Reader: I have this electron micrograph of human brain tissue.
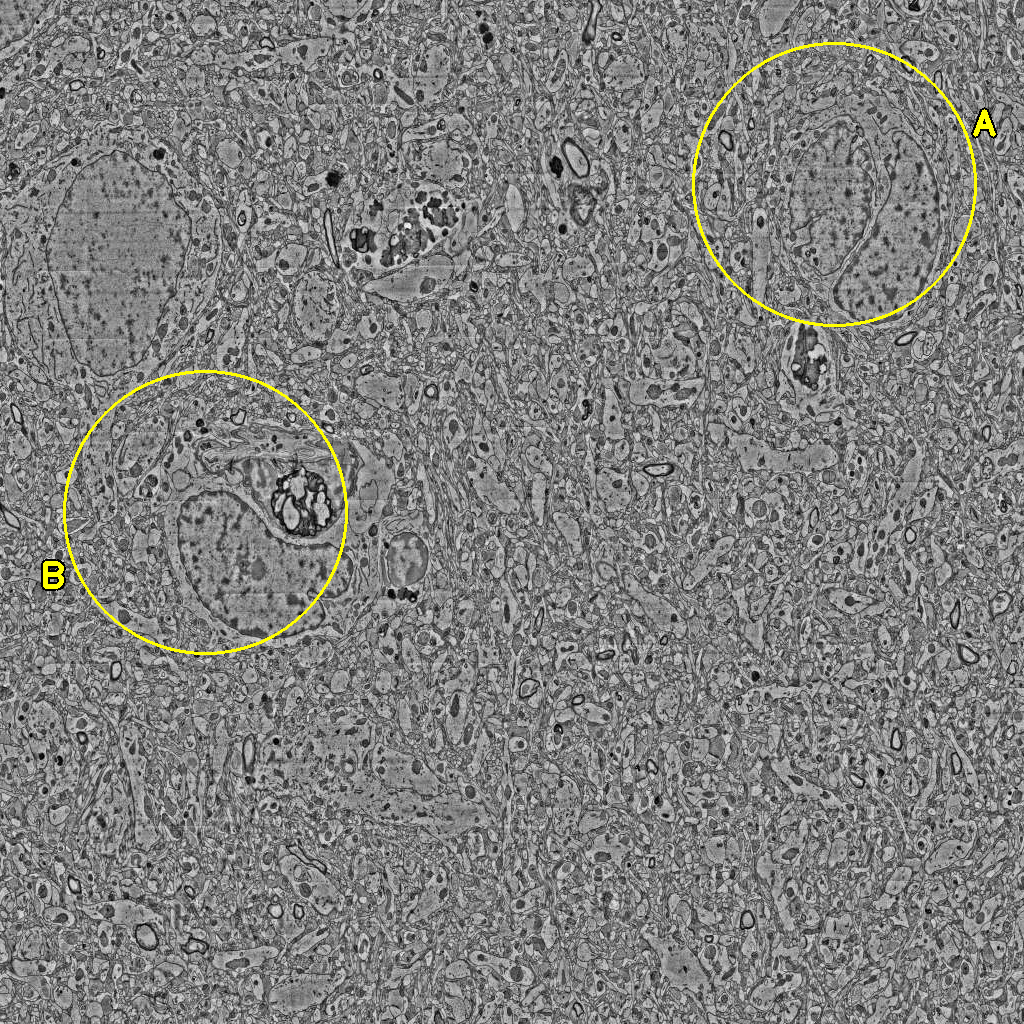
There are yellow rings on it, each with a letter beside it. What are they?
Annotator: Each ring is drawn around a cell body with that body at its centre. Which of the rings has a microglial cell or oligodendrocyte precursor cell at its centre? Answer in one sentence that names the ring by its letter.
That cell sits at the centre of ring B.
